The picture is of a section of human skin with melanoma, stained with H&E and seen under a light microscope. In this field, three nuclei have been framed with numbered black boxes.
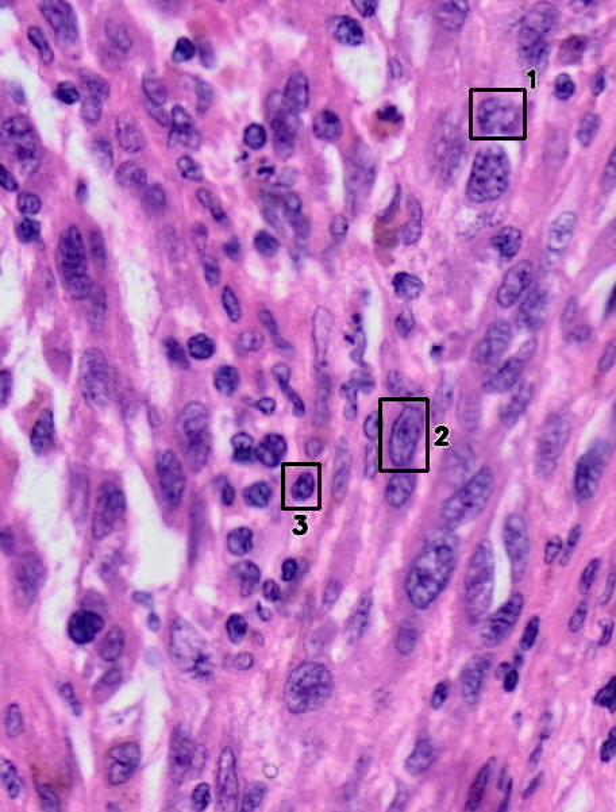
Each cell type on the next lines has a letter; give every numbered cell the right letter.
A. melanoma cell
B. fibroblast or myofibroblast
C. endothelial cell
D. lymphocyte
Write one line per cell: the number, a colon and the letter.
1: A
2: A
3: D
